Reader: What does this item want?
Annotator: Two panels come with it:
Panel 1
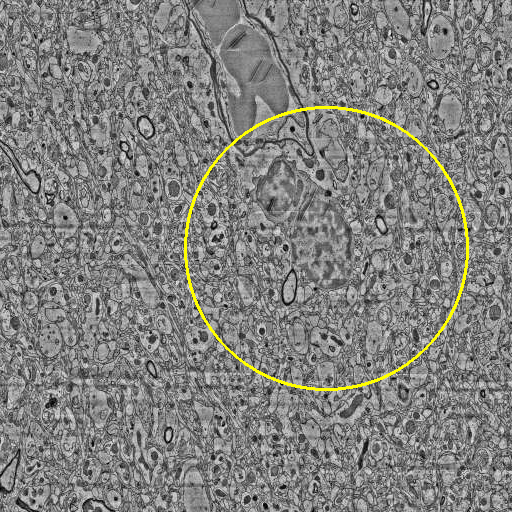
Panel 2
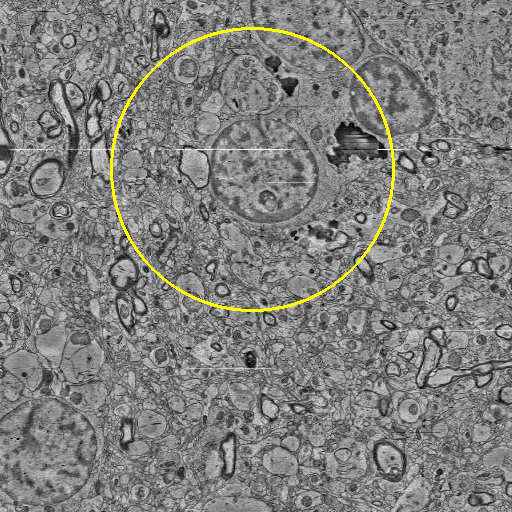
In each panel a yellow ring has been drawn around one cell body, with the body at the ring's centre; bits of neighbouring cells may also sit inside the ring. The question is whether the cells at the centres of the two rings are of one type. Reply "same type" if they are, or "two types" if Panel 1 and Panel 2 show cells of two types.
same type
